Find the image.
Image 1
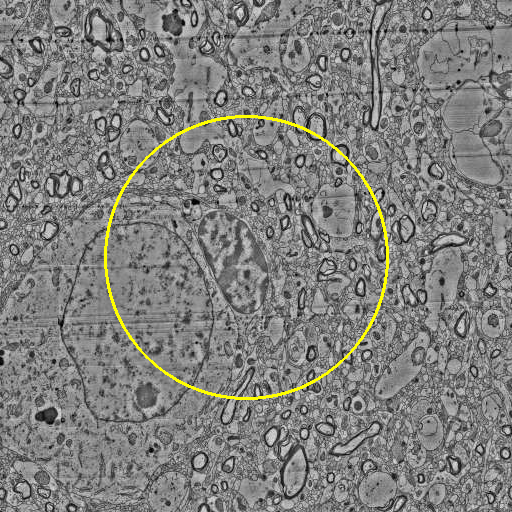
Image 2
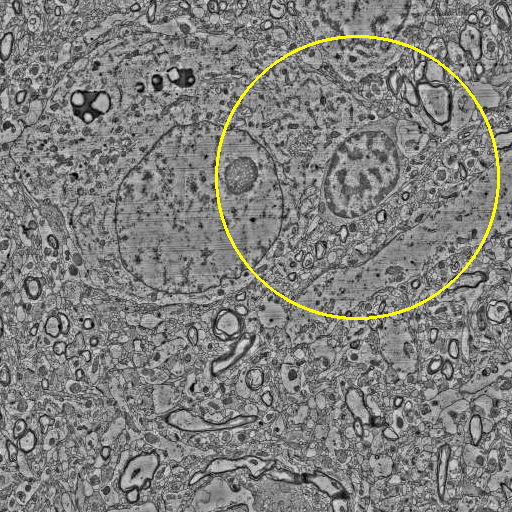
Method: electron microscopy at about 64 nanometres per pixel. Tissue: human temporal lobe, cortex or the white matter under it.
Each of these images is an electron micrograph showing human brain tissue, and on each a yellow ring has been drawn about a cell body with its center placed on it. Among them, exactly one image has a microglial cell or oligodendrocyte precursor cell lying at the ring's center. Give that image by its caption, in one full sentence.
The ring in Image 1 is centered on the cell the question describes.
